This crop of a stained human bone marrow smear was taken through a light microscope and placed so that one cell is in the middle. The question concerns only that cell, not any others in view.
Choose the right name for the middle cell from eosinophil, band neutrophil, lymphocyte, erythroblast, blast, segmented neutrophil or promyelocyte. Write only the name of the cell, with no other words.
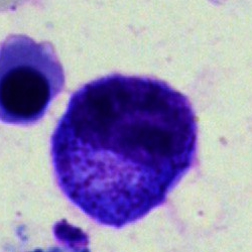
promyelocyte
